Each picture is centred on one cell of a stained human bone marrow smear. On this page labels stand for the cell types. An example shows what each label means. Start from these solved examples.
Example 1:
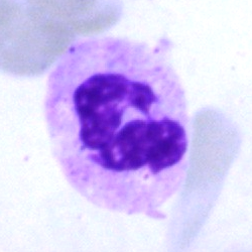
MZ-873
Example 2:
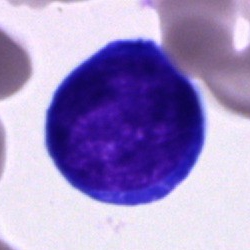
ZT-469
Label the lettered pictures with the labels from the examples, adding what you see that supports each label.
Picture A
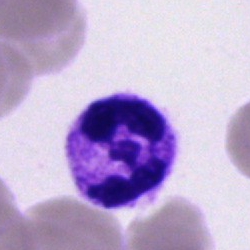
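MZ-873. Evidence: The chromatin is dark purple and coarsely clumped.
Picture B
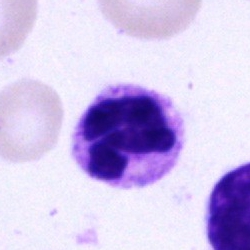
MZ-873. Evidence: The chromatin is dark purple and coarsely clumped.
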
